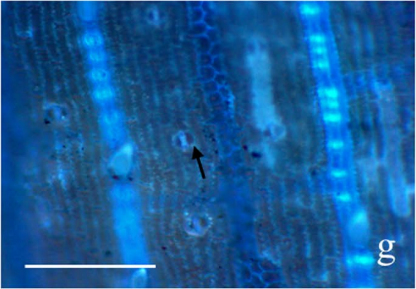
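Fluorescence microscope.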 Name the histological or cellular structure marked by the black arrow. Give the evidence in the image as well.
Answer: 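The arrow points to a small oval structure with a darker central opening. Only a few such oval structures are scattered among elongated epidermal cells.
Conclusion: stomata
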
